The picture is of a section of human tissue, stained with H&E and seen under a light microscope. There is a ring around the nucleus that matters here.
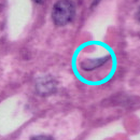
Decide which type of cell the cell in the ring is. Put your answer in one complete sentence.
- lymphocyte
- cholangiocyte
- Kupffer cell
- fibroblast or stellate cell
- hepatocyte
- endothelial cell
By its classification, the cell in the ring is an endothelial cell.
